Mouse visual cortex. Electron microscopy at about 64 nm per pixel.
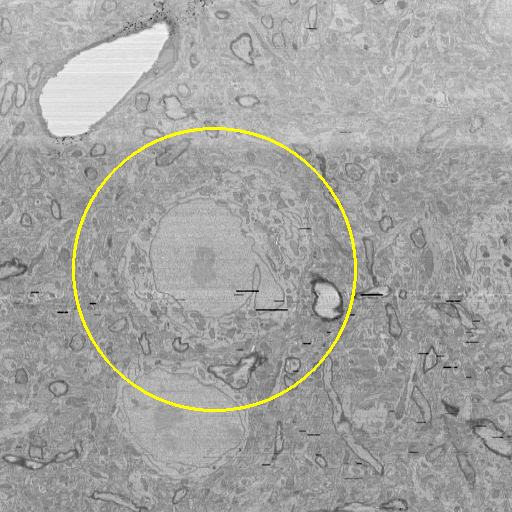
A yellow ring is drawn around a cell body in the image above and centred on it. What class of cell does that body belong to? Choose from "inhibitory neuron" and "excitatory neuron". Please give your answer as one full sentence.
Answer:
The yellow ring above is centred on the cell body of an inhibitory neuron.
